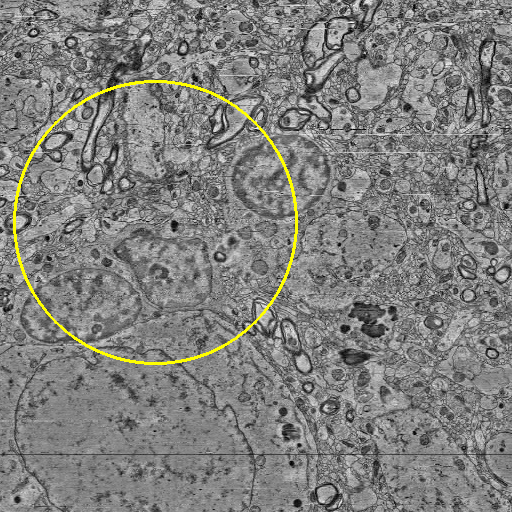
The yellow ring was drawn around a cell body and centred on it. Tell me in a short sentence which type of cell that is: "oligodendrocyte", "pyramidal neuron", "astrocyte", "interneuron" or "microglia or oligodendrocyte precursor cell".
The cell at the ring's centre is an oligodendrocyte.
